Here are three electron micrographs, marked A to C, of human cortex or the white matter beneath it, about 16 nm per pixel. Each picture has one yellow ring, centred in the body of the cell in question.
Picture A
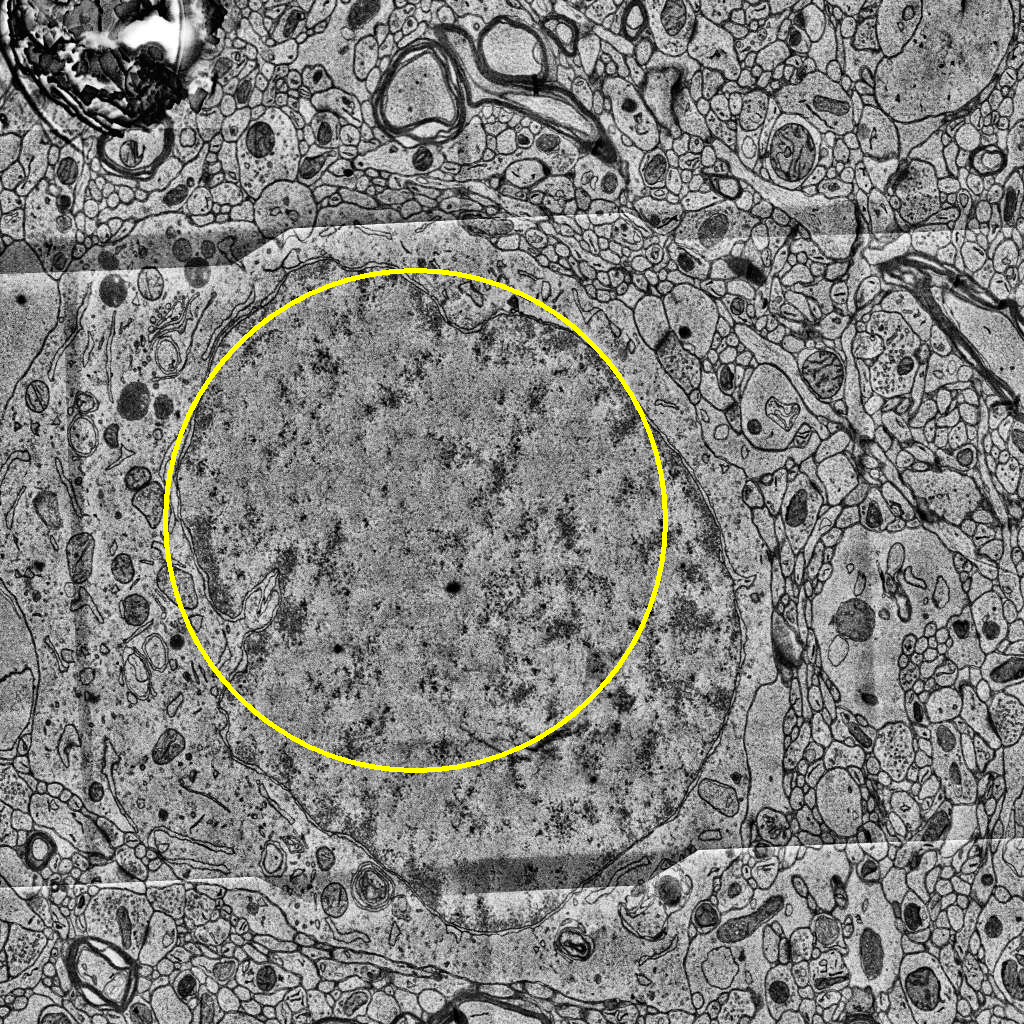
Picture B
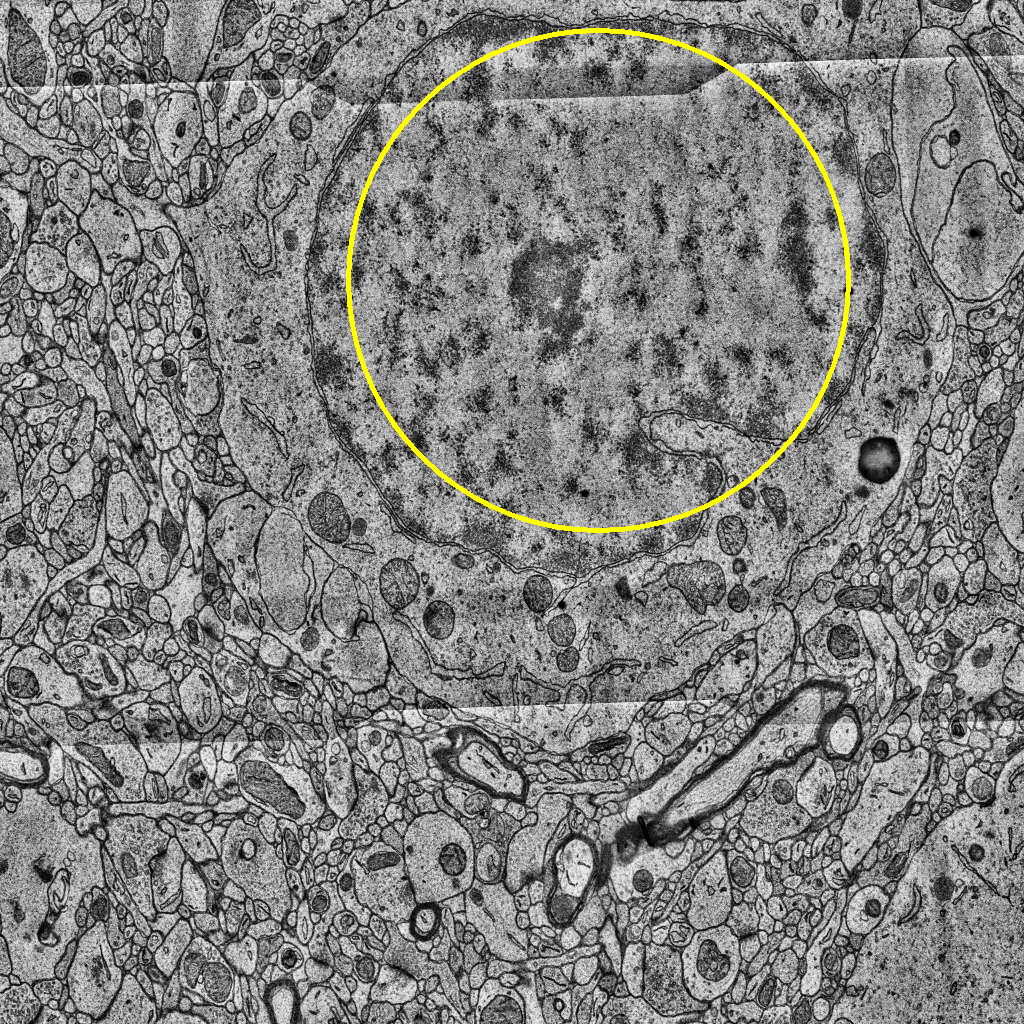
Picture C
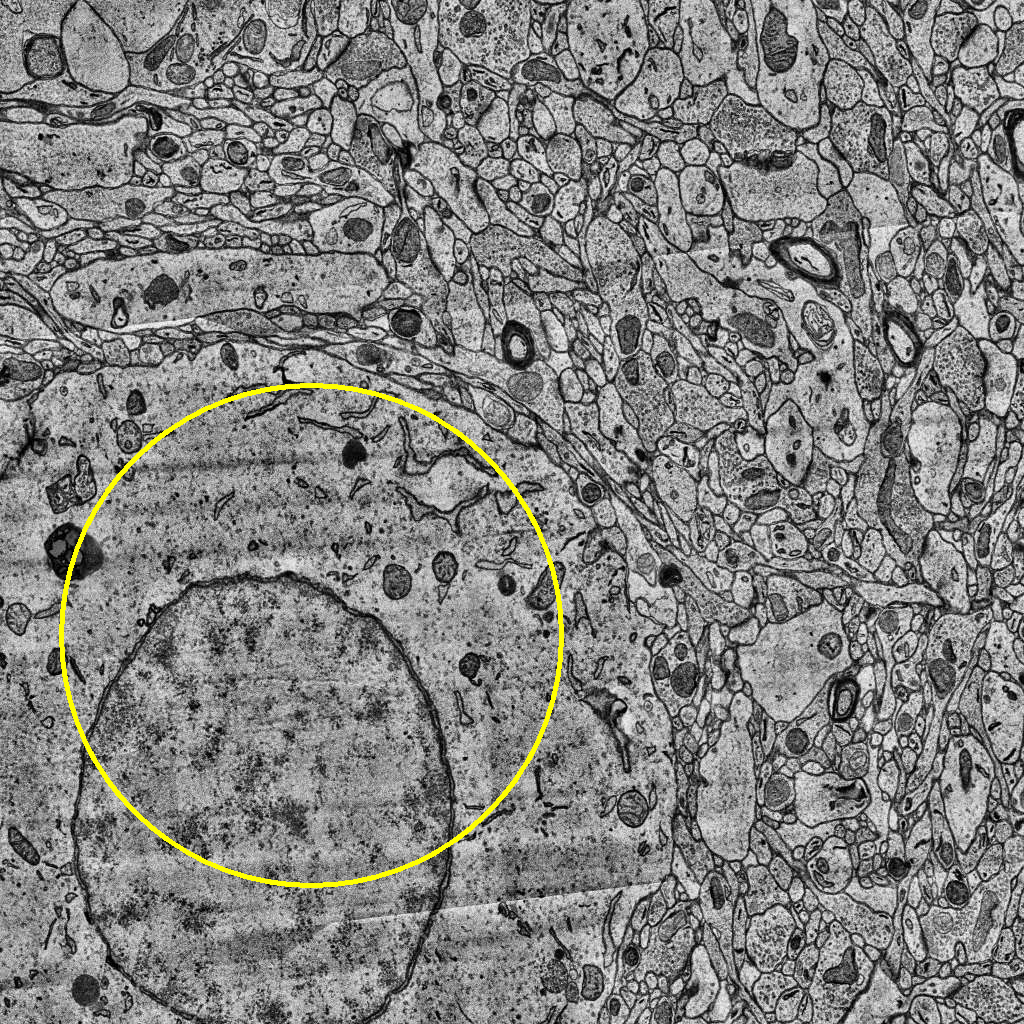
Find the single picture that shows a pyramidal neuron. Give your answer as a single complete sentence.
The cell in picture C is the pyramidal neuron.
